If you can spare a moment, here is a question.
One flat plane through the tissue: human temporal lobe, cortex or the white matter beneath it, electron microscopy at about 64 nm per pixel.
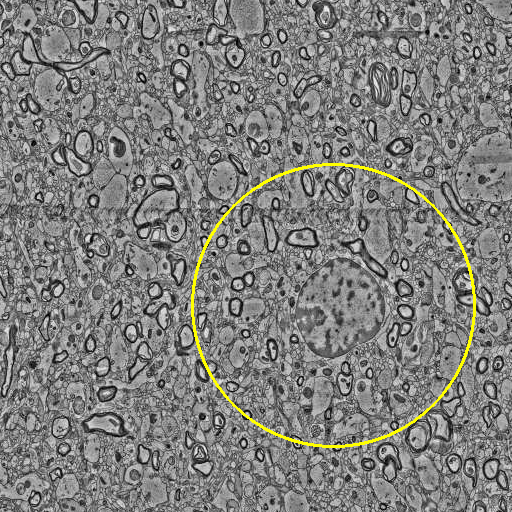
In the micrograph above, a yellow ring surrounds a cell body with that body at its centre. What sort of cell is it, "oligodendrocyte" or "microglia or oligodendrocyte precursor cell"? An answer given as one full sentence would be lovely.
Centred inside the yellow ring, the cell body shown belongs to a microglial cell or oligodendrocyte precursor cell in this micrograph.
